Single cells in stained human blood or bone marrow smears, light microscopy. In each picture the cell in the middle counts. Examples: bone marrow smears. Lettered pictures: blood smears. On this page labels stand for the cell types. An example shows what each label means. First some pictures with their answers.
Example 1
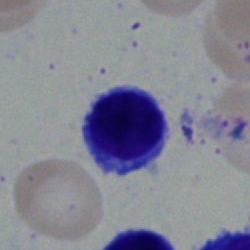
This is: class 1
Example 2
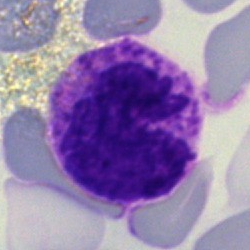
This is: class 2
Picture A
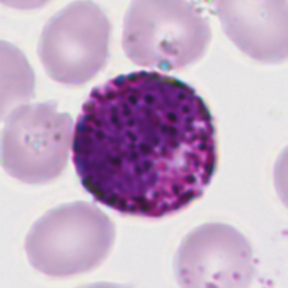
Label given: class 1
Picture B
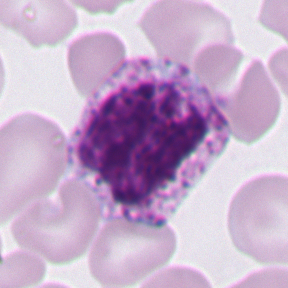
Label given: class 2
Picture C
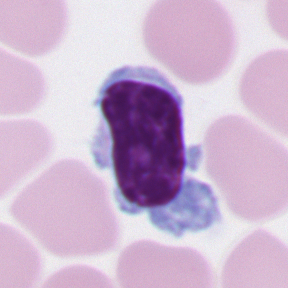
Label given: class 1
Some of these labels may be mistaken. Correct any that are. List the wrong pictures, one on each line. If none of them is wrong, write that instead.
A should be class 2, not class 1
